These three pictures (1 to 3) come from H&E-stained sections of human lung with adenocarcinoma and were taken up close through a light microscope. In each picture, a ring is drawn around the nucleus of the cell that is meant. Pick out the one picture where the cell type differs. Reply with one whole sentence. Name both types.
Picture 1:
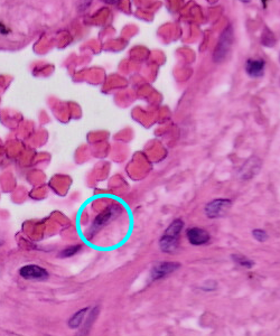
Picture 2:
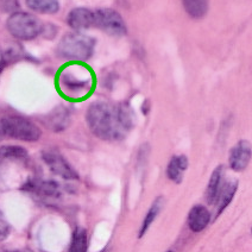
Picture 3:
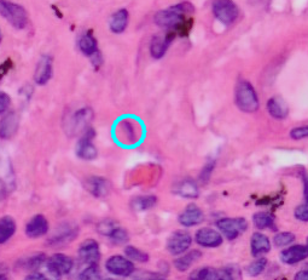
The others show endothelial cells, but picture 2 shows a ciliated epithelial cell.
